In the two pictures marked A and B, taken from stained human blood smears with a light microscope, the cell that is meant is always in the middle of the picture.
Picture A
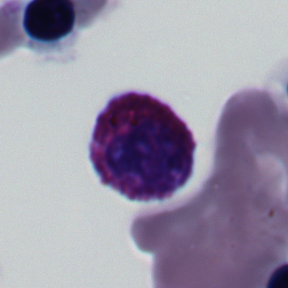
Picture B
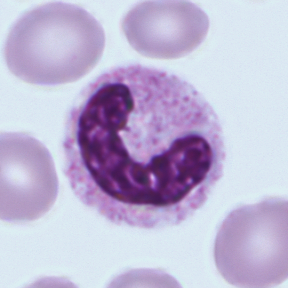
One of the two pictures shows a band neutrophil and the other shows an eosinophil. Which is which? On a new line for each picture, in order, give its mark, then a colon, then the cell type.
A: eosinophil
B: band neutrophil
